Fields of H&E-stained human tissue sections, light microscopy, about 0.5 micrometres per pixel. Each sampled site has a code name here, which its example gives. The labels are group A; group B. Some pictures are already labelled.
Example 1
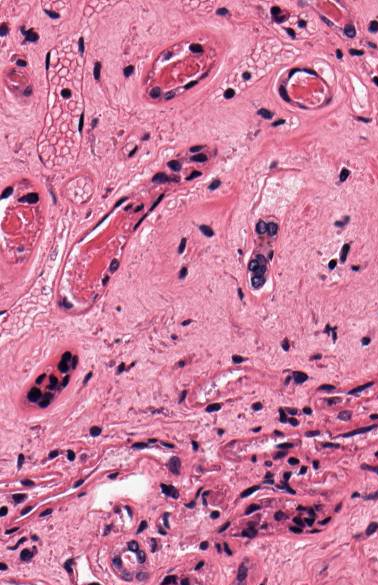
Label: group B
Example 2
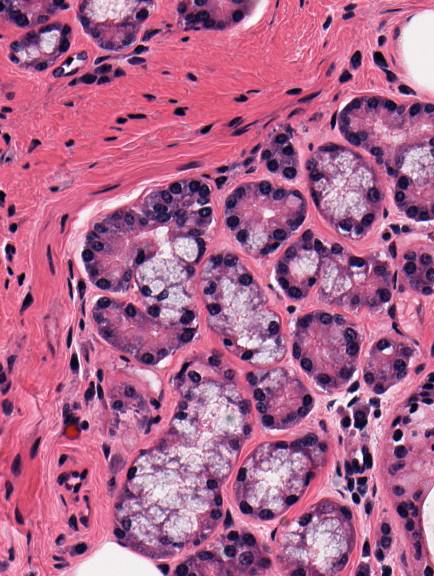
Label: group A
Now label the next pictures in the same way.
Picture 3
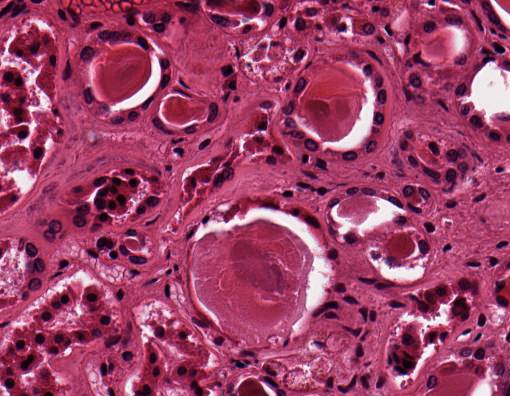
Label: group B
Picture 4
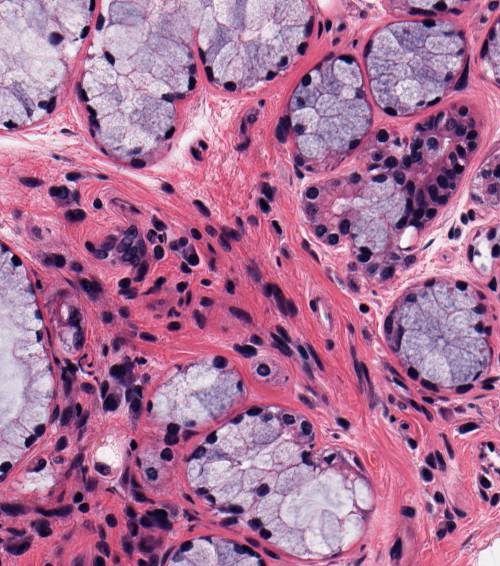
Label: group A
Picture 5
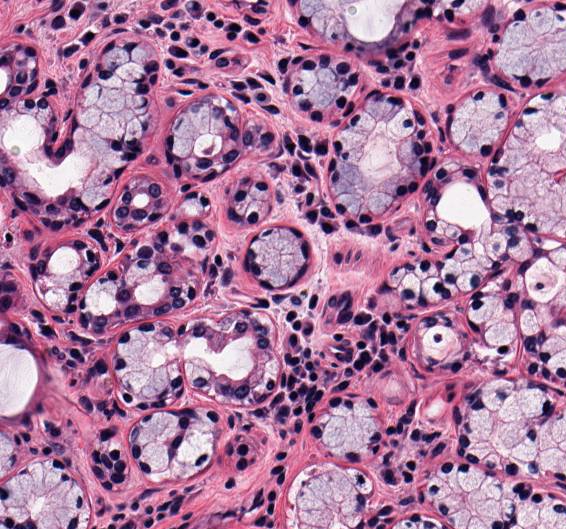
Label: group A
